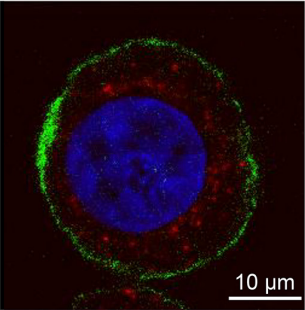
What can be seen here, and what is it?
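A single rounded cultured cell seen in optical section, with a large round blue nucleus filling much of the cell. A thin green rim outlines the cell surface, thicker and brighter along one side on the left. Green and red do not overlap noticeably; the interior of the cell carries almost no green. Part of a neighbouring cell with a green rim is visible at the bottom edge.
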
